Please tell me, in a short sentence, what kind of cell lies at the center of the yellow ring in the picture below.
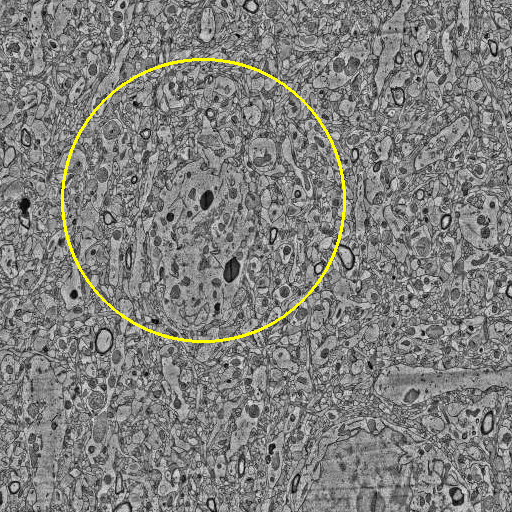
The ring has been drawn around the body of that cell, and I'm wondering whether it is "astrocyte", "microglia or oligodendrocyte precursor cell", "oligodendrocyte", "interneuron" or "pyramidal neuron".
The cell at the center of the ring is an interneuron.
